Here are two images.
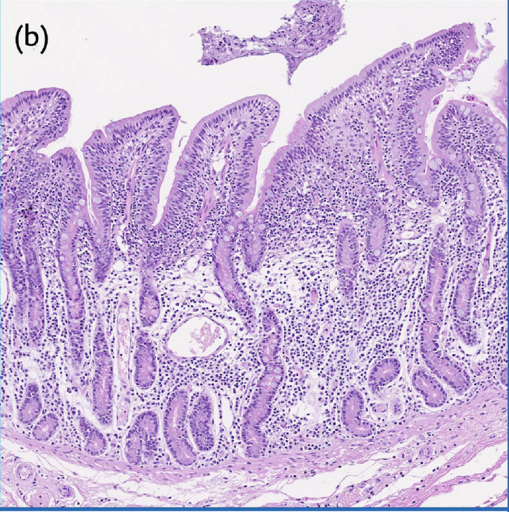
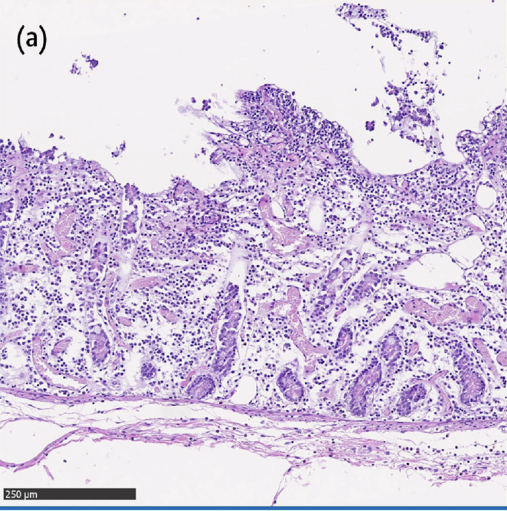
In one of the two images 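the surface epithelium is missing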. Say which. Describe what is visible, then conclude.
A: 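First image: villi lined by a continuous layer of columnar cells. Second image: the mucosal surface is ragged with no epithelial lining or villi.
Answer: the second image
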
